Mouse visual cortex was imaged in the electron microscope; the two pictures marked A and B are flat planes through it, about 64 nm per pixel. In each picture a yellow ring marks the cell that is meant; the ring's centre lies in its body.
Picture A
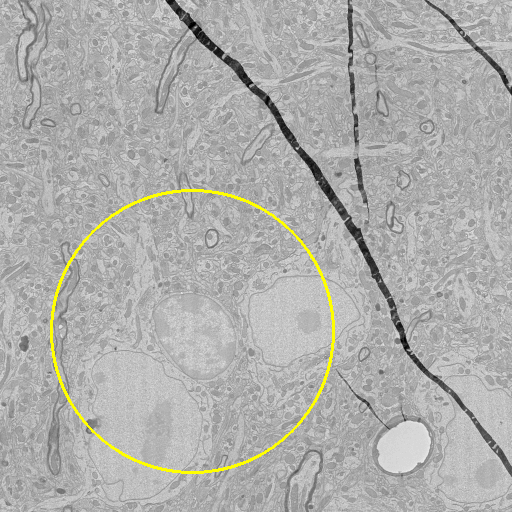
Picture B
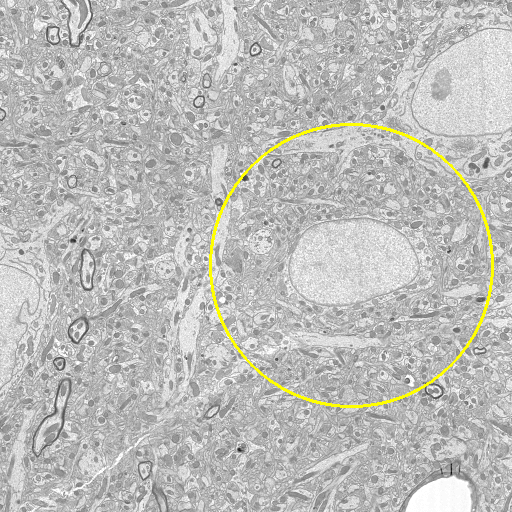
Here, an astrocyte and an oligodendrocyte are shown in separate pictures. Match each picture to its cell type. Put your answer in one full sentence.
The cell in picture A is an oligodendrocyte, and the one in picture B is an astrocyte.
